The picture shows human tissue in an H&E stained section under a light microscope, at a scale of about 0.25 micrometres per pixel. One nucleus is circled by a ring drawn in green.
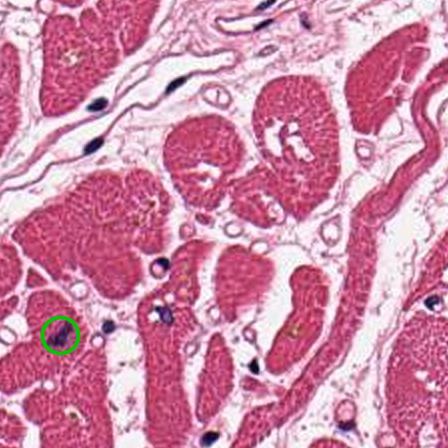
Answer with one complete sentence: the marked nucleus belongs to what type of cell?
On this slide, the marked nucleus belongs to a cardiomyocyte.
